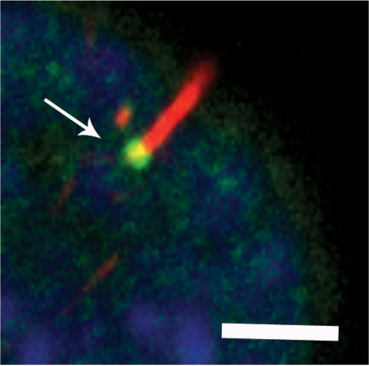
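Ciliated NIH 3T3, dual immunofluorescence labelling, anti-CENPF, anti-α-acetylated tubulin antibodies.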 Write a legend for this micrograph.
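A close view over the nucleus of a fibroblast shows a single primary cilium rising from its basal body. The nucleus fills the background in blue with darker and brighter patches of chromatin. A straight red rod, the cilium, runs diagonally across the field; at its lower end sits a compact bright green-yellow dot where green and red overlap, marking the basal body, to which the white arrow points. A second short red fleck lies just beside the base, and faint thin red lines cross the lower part of the field. Fine green speckles are scattered faintly over the rest of the cell.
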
